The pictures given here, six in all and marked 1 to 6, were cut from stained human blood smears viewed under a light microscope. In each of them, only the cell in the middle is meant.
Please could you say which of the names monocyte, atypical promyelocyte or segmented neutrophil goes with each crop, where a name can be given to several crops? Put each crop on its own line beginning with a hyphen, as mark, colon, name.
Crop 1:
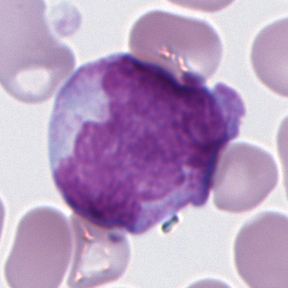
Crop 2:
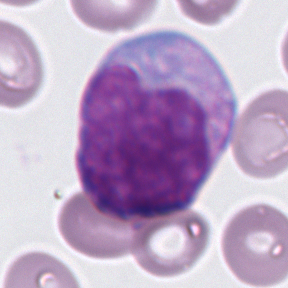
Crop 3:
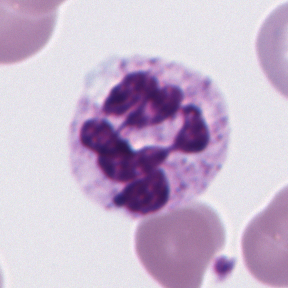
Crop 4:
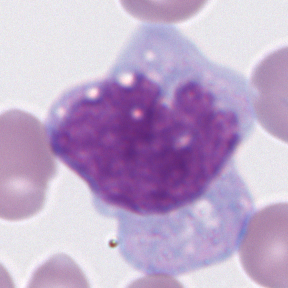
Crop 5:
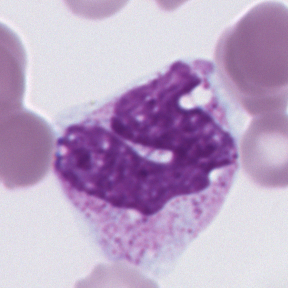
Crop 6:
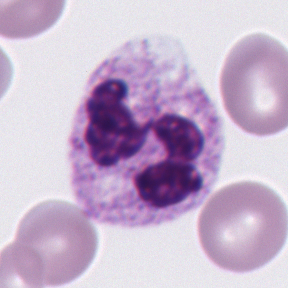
- 1: atypical promyelocyte
- 2: atypical promyelocyte
- 3: segmented neutrophil
- 4: monocyte
- 5: segmented neutrophil
- 6: segmented neutrophil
